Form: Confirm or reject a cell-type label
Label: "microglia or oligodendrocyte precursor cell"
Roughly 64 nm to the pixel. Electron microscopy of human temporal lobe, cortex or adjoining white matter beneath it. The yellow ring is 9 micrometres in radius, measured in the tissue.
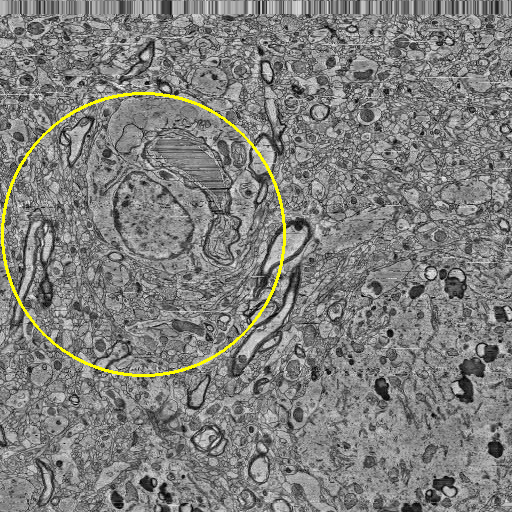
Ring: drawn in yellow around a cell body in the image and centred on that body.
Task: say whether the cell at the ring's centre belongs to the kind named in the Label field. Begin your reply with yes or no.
Yes, it belongs to that kind.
